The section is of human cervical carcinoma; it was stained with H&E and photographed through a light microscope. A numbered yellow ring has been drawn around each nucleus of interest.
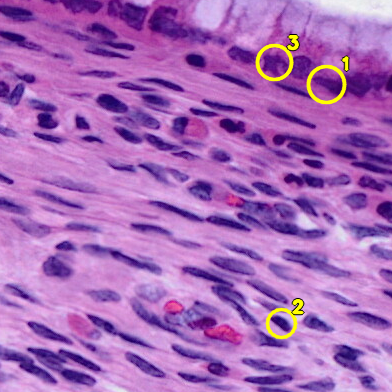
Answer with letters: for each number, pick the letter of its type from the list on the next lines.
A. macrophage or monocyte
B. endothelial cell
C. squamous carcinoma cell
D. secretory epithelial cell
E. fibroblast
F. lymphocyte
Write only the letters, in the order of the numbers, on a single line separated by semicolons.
D; E; D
